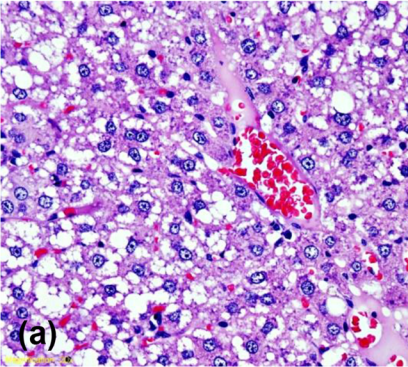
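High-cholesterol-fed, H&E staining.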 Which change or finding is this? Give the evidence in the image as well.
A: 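Micro- and macrovesicular steatosis. Many clear, empty-looking round vacuoles fill the cytoplasm of the liver cells. The vacuoles vary from small droplets to large ones the size of a nucleus or more.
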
